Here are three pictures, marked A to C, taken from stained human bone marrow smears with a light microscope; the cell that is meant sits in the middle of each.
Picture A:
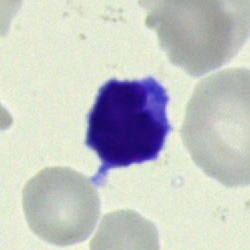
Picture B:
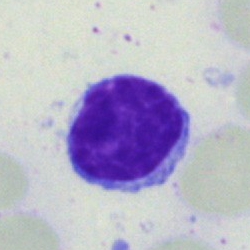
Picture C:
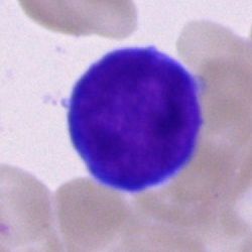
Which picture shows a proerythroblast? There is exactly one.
C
